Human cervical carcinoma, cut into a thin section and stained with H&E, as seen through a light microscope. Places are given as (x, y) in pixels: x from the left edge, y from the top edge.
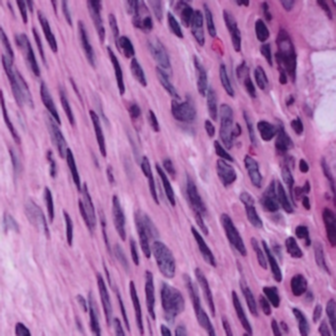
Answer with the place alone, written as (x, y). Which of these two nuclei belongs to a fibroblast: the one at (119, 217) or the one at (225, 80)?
(119, 217)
